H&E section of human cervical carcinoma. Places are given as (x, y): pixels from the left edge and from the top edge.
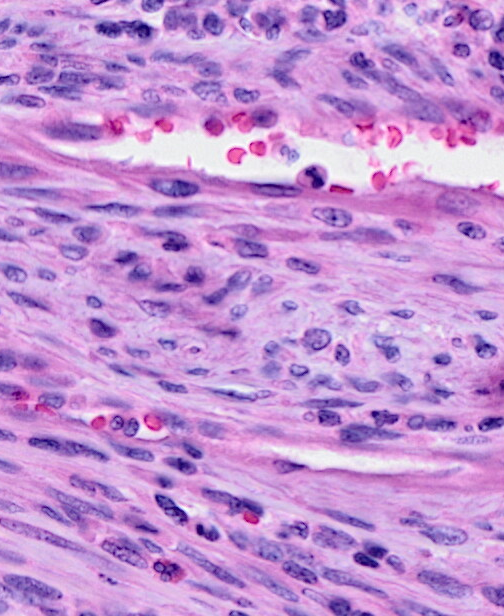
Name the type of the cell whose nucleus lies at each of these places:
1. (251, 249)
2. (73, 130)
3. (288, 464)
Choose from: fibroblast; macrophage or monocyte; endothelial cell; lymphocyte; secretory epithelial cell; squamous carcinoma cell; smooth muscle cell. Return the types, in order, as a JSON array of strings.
["macrophage or monocyte", "endothelial cell", "endothelial cell"]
